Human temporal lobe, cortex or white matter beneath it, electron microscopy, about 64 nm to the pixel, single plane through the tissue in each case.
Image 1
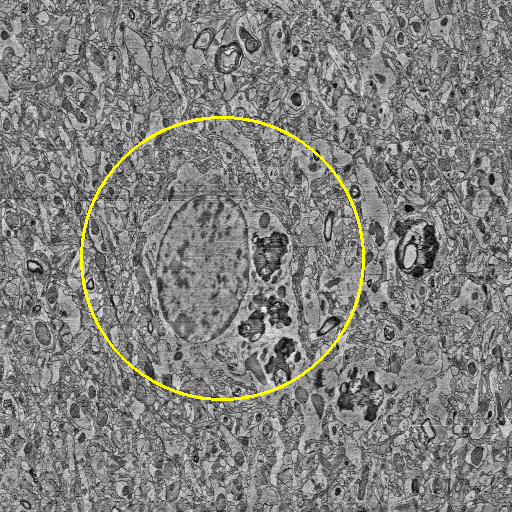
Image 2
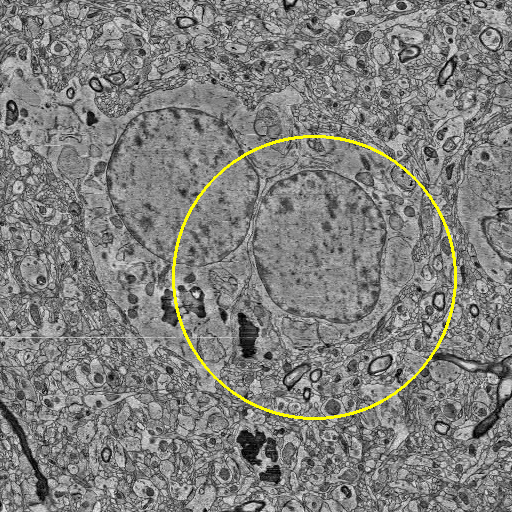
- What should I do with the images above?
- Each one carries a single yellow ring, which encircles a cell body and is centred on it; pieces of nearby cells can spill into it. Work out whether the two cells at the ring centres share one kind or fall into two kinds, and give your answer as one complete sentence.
The ring-centre cells of Image 1 and Image 2 share one kind.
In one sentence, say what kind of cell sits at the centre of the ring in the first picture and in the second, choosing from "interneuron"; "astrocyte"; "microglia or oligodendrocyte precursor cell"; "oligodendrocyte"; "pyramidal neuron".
Both rings mark an astrocyte, one in each picture.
